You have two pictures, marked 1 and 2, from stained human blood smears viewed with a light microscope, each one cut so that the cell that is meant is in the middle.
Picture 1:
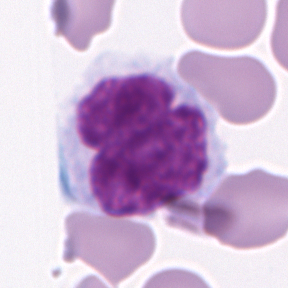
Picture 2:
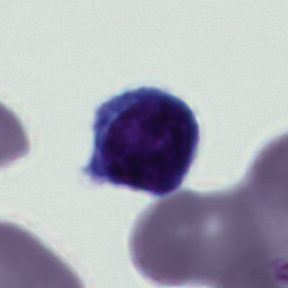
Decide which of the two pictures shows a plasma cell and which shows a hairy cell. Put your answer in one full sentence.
Picture 2 shows a plasma cell, while picture 1 shows a hairy cell.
